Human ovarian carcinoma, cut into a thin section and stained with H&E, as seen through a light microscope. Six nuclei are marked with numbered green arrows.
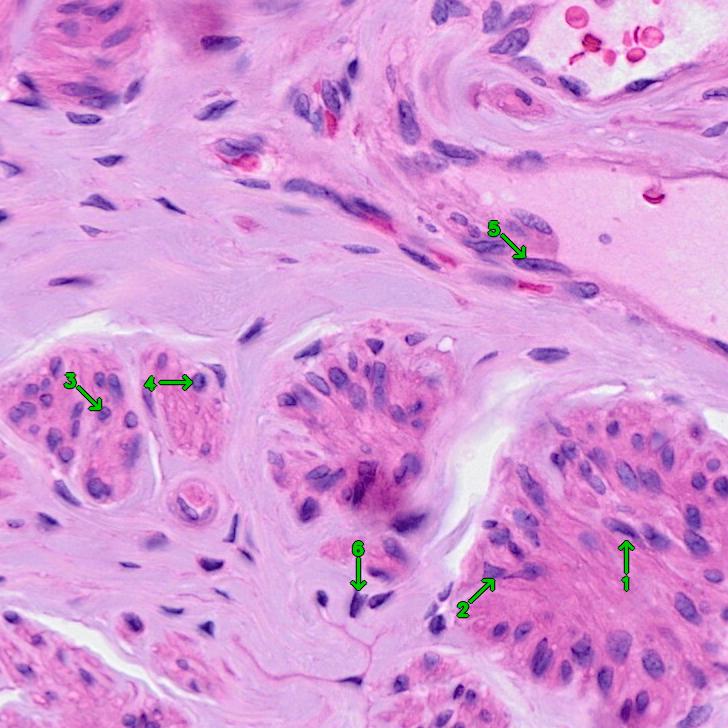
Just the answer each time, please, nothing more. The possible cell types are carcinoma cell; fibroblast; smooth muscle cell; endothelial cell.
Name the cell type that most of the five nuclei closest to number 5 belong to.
endothelial cell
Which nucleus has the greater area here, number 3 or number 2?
2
